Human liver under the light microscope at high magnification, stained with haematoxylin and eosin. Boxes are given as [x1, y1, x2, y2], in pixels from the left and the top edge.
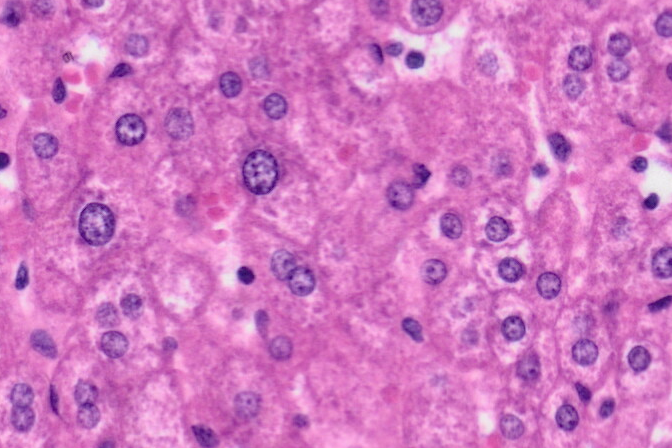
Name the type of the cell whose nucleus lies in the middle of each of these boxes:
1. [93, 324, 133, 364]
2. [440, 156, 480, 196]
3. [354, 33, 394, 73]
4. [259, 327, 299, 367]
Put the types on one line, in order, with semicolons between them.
hepatocyte; hepatocyte; fibroblast or stellate cell; hepatocyte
